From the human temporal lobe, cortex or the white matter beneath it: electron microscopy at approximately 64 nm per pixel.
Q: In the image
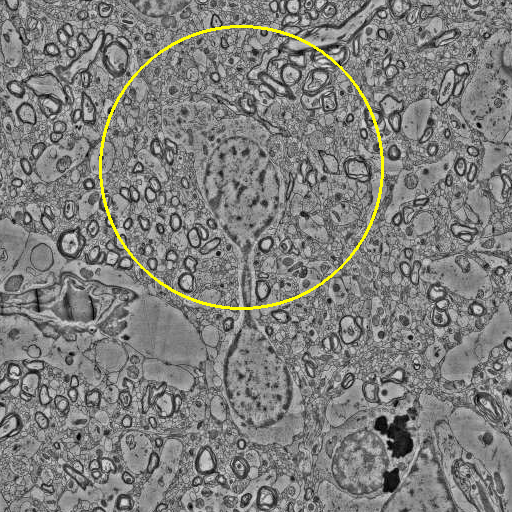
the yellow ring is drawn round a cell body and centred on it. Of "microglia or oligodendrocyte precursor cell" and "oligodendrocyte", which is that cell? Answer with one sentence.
The cell centred in the ring is a microglial cell or oligodendrocyte precursor cell.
